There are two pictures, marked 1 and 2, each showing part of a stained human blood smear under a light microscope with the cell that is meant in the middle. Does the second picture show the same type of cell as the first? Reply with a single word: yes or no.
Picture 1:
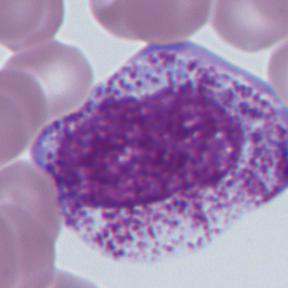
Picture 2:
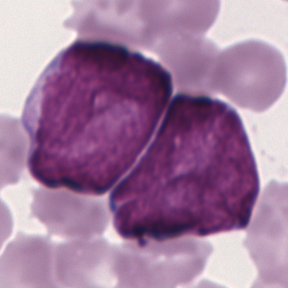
no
